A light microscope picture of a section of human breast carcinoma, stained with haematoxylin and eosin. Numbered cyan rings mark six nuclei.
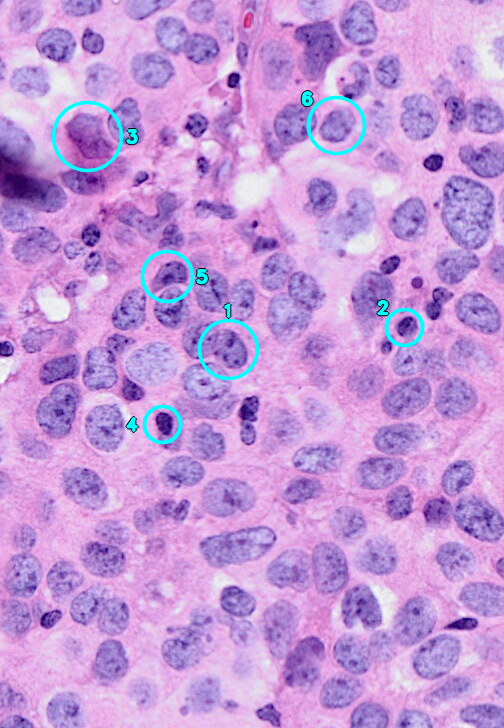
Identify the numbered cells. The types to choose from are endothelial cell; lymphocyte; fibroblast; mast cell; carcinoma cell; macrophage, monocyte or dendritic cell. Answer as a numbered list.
1. carcinoma cell
2. lymphocyte
3. carcinoma cell
4. lymphocyte
5. carcinoma cell
6. carcinoma cell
